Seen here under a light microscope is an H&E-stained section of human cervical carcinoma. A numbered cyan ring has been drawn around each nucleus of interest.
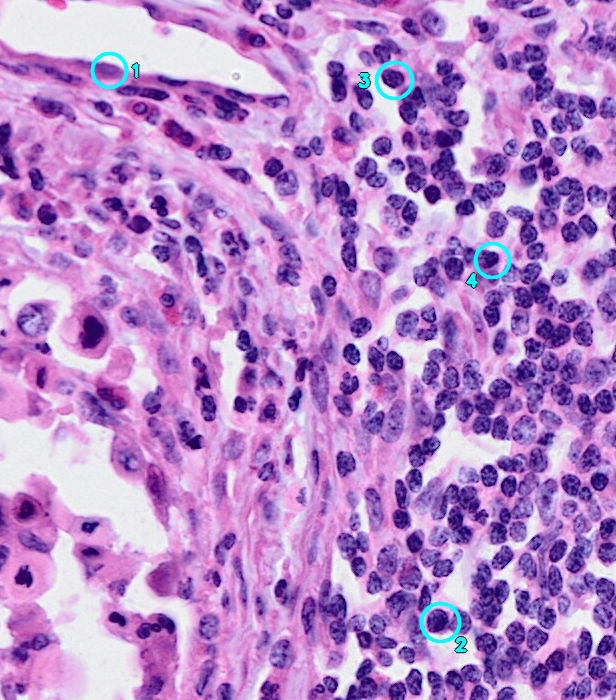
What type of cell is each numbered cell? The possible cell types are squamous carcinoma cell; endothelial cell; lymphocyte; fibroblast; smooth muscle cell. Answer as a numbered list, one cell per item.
1. endothelial cell
2. lymphocyte
3. lymphocyte
4. lymphocyte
